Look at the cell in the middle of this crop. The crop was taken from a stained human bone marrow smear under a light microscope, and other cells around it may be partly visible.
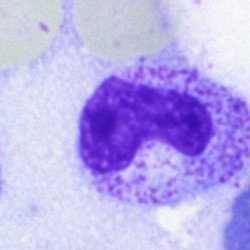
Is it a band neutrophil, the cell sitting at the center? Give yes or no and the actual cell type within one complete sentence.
Yes, the central cell is to be recorded as a band neutrophil.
